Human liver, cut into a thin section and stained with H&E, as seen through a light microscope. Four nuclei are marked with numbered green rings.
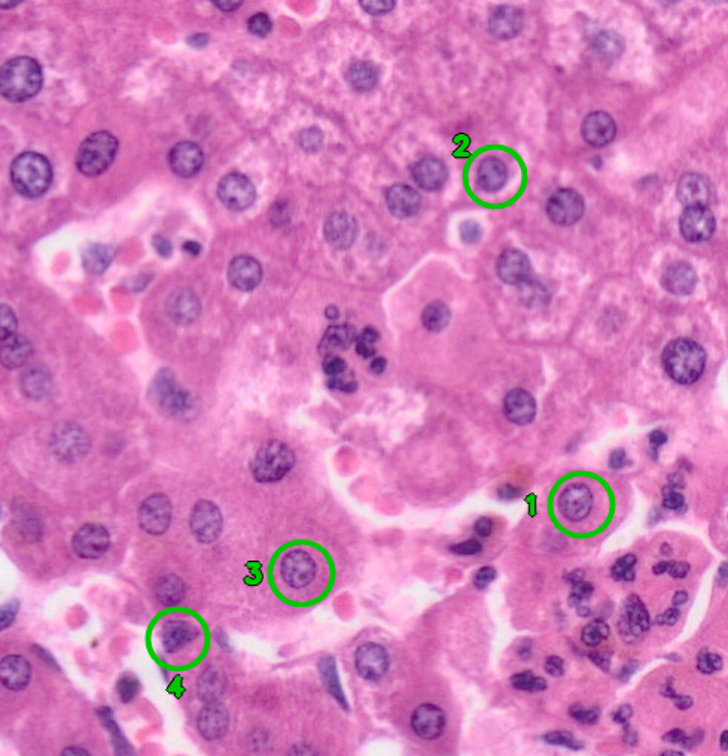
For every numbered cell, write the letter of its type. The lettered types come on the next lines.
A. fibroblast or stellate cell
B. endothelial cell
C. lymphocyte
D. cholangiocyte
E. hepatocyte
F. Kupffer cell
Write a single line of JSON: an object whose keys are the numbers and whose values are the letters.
{"1": "E", "2": "E", "3": "E", "4": "A"}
